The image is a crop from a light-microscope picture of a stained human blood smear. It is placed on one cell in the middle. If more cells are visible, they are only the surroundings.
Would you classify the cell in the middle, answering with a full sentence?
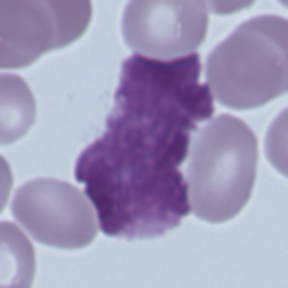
As for the central cell, it is a smudge cell.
